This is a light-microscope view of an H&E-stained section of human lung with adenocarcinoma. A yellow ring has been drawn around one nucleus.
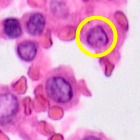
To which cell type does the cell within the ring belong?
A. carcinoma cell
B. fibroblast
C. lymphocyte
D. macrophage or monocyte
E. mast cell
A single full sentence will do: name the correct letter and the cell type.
Option D is the one to take: the cell within the ring is a macrophage or monocyte.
